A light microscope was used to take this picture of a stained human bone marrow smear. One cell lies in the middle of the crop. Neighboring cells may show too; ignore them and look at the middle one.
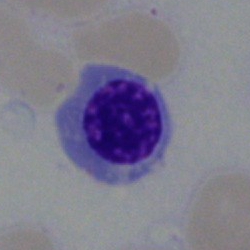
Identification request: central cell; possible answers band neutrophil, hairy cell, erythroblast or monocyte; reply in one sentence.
At the middle of the frame sits an erythroblast.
